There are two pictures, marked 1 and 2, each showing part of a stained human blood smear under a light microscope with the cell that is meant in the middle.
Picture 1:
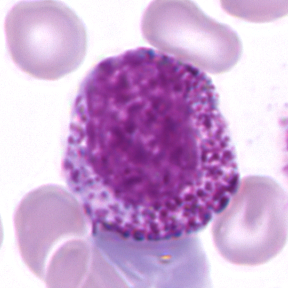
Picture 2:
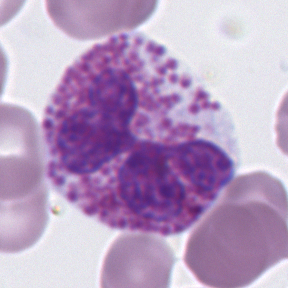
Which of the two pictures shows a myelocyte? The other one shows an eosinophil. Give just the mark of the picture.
1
